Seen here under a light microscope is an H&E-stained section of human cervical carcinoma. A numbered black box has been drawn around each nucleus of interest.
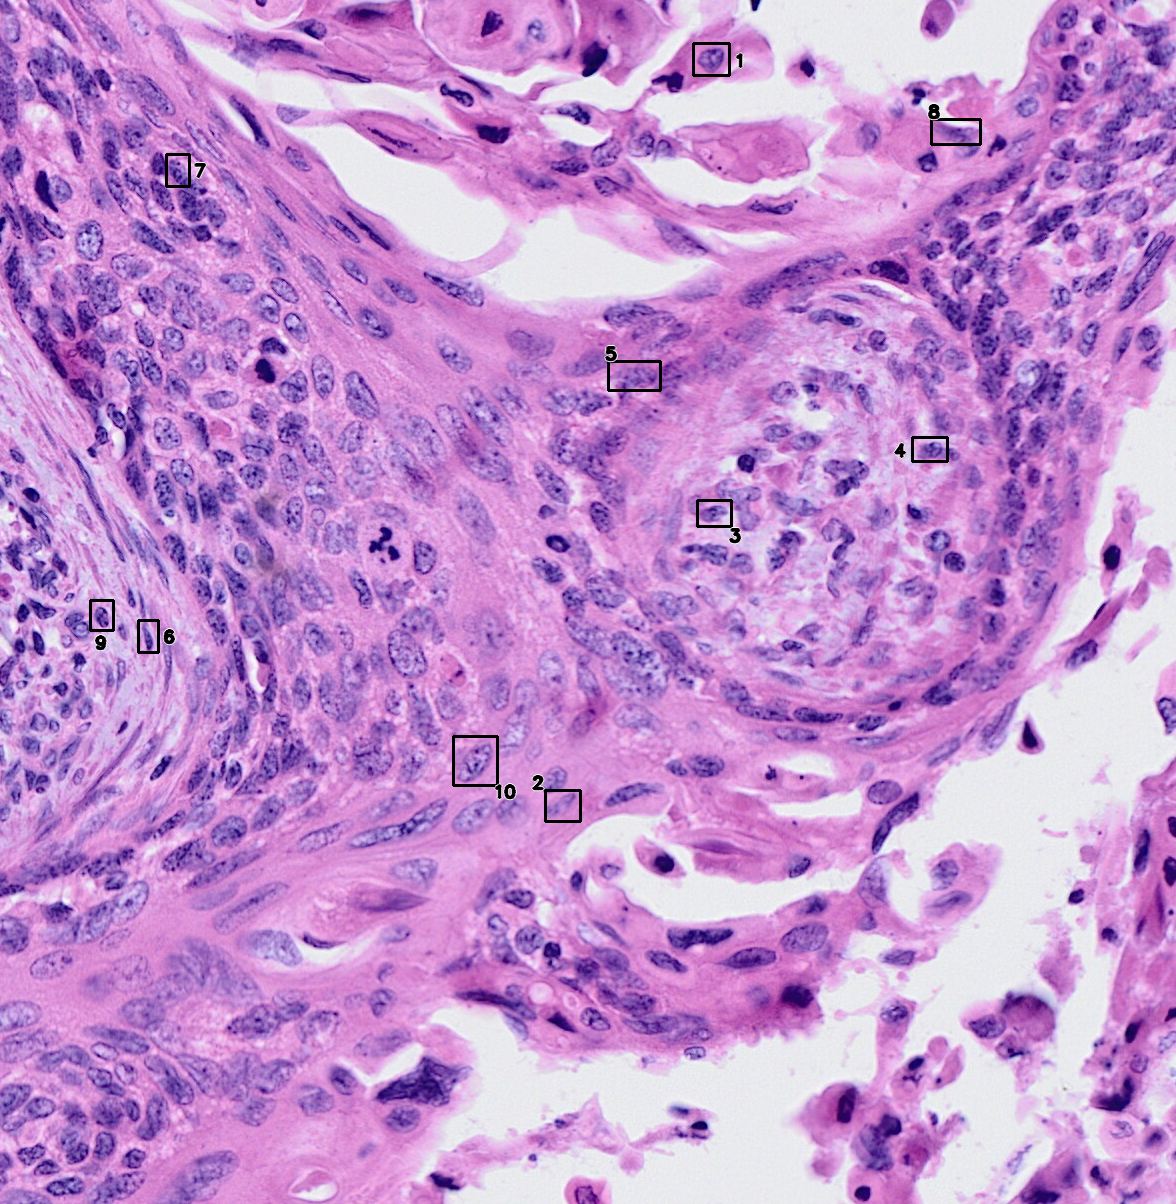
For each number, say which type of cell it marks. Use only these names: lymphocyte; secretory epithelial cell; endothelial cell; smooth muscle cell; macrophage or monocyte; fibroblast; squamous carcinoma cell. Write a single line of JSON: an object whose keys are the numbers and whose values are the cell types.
{"1": "squamous carcinoma cell", "2": "squamous carcinoma cell", "3": "lymphocyte", "4": "lymphocyte", "5": "squamous carcinoma cell", "6": "fibroblast", "7": "squamous carcinoma cell", "8": "squamous carcinoma cell", "9": "lymphocyte", "10": "squamous carcinoma cell"}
